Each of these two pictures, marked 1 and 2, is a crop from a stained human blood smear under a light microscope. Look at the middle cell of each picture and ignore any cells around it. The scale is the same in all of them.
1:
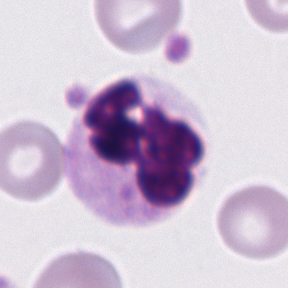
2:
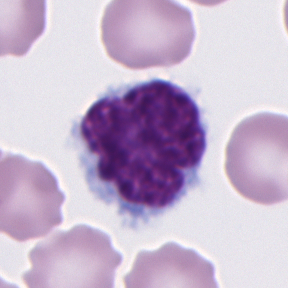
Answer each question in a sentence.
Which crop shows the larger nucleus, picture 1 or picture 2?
The nucleus in picture 2 is larger, with about 1.5 times the area of the one in picture 1.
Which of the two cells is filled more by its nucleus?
In picture 2 the nucleus takes up the larger part of its cell.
